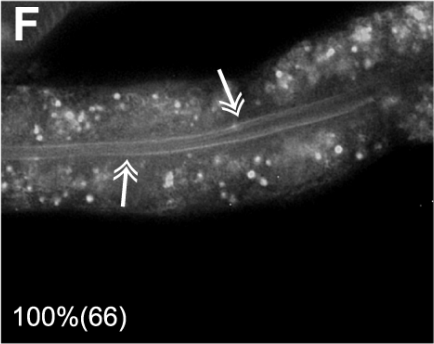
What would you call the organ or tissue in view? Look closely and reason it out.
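Guts. A tube of cells with a central lumen running lengthwise. Cytoplasm filled with many bright round granules.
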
